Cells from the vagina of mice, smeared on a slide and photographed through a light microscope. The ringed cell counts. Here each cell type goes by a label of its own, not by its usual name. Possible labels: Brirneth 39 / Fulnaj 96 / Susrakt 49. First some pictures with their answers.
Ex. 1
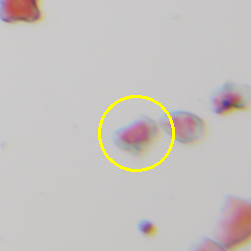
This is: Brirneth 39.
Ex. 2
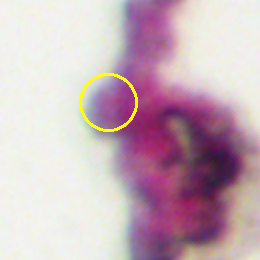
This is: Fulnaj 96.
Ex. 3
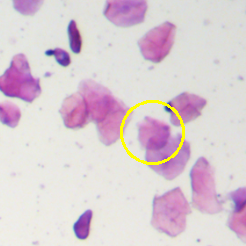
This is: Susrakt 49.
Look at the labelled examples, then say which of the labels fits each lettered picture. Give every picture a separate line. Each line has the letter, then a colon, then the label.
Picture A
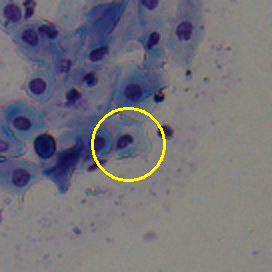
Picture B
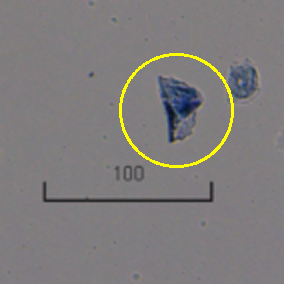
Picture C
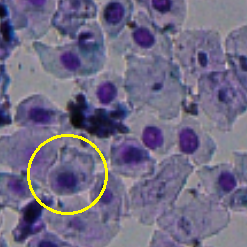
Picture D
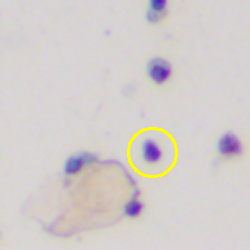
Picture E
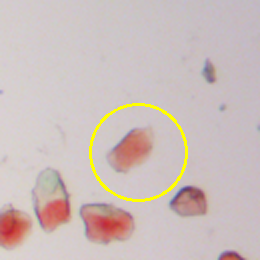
A: Brirneth 39.
B: Susrakt 49.
C: Brirneth 39.
D: Fulnaj 96.
E: Susrakt 49.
